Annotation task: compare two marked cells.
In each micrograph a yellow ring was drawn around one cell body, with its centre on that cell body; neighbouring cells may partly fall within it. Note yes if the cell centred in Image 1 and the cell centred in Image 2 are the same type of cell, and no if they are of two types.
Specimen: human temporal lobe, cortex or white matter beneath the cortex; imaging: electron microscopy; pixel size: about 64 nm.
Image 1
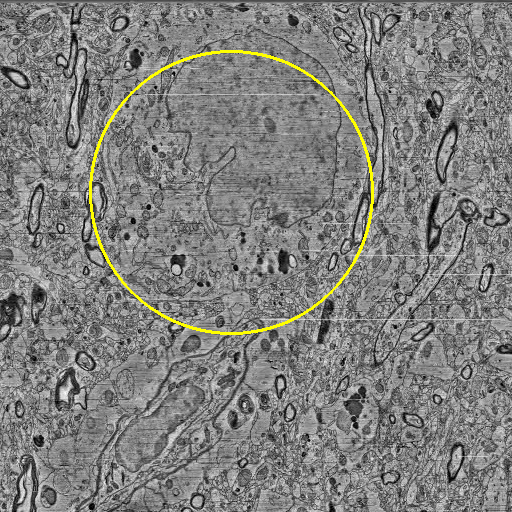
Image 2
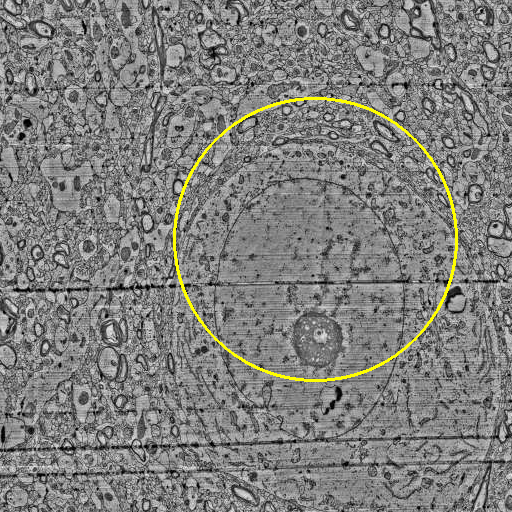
yes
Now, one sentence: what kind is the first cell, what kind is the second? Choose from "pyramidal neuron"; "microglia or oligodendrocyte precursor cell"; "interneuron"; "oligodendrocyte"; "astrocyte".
Each of the two rings is centred on a pyramidal neuron.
